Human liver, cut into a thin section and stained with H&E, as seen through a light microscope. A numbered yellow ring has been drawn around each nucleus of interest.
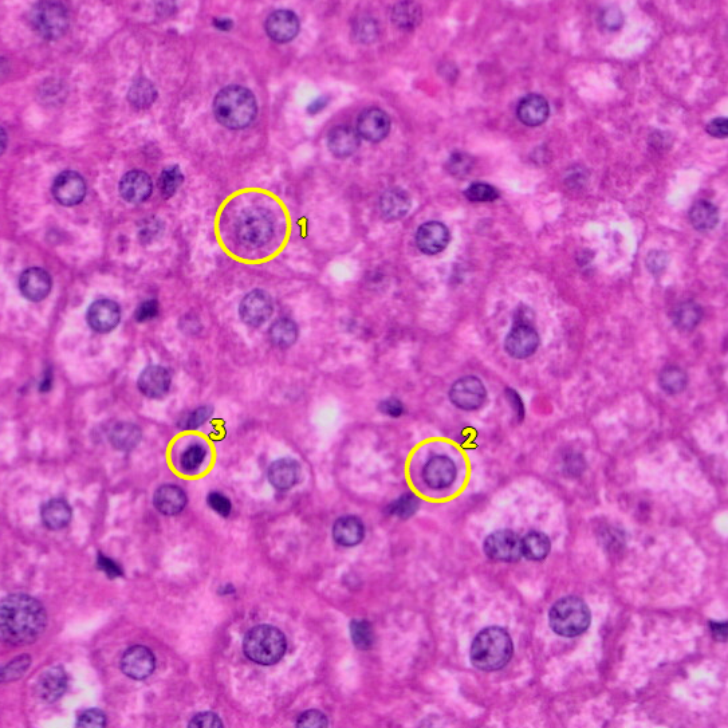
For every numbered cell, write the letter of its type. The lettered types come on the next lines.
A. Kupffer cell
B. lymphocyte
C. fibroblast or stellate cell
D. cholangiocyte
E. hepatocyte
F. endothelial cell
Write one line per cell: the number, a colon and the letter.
1: E
2: E
3: B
